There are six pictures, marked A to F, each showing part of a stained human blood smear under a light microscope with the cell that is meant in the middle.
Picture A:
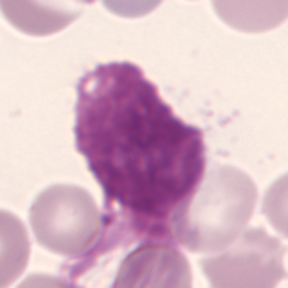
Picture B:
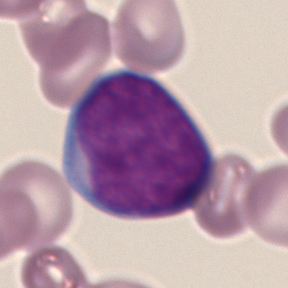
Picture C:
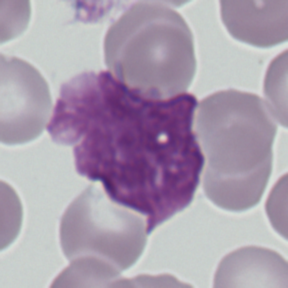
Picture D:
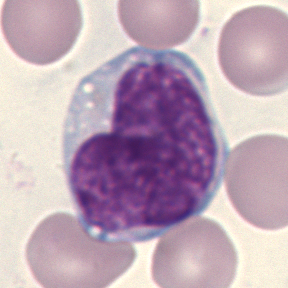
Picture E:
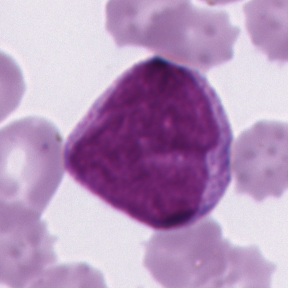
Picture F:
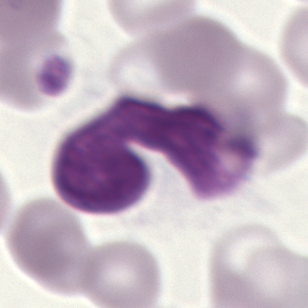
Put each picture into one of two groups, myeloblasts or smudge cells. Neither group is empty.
A: smudge cell
B: myeloblast
C: smudge cell
D: myeloblast
E: myeloblast
F: smudge cell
